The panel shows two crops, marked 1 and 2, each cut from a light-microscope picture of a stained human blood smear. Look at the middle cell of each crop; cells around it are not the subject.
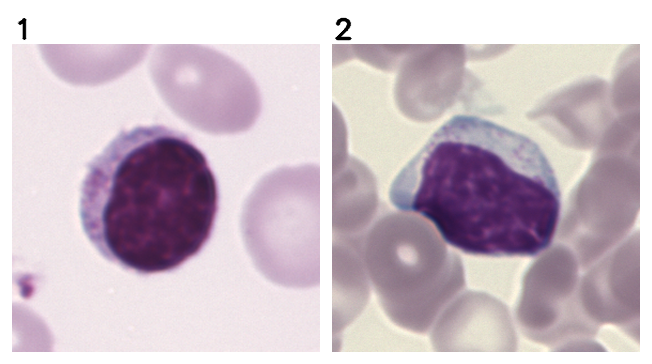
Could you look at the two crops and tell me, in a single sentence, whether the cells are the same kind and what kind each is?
Yes, both crops show large granular lymphocytes, each crop centred on one of them.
